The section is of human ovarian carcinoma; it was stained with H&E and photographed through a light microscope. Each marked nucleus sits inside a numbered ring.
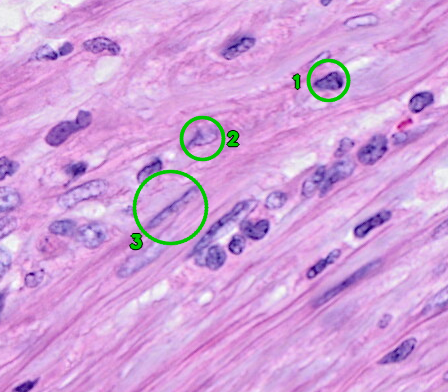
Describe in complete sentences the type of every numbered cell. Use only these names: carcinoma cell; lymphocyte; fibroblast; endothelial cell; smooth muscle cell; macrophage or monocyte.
Cell 1 is a macrophage or monocyte. Cells 2 and 3 are fibroblasts.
